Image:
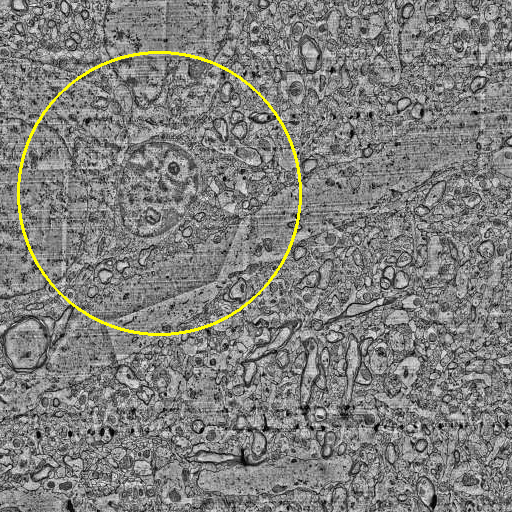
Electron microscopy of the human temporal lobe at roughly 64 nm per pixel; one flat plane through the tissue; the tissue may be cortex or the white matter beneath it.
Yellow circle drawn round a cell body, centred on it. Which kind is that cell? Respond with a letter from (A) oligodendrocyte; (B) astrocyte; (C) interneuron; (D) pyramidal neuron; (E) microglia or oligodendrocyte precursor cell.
A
